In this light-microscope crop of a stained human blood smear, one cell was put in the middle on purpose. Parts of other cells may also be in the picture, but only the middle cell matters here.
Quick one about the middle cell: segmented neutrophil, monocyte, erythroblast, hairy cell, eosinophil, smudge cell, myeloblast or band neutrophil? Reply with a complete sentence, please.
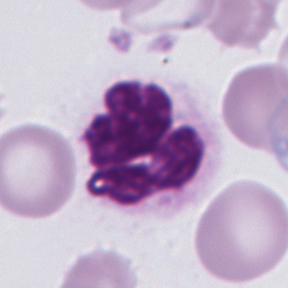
Here the centrally located cell is a segmented neutrophil.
